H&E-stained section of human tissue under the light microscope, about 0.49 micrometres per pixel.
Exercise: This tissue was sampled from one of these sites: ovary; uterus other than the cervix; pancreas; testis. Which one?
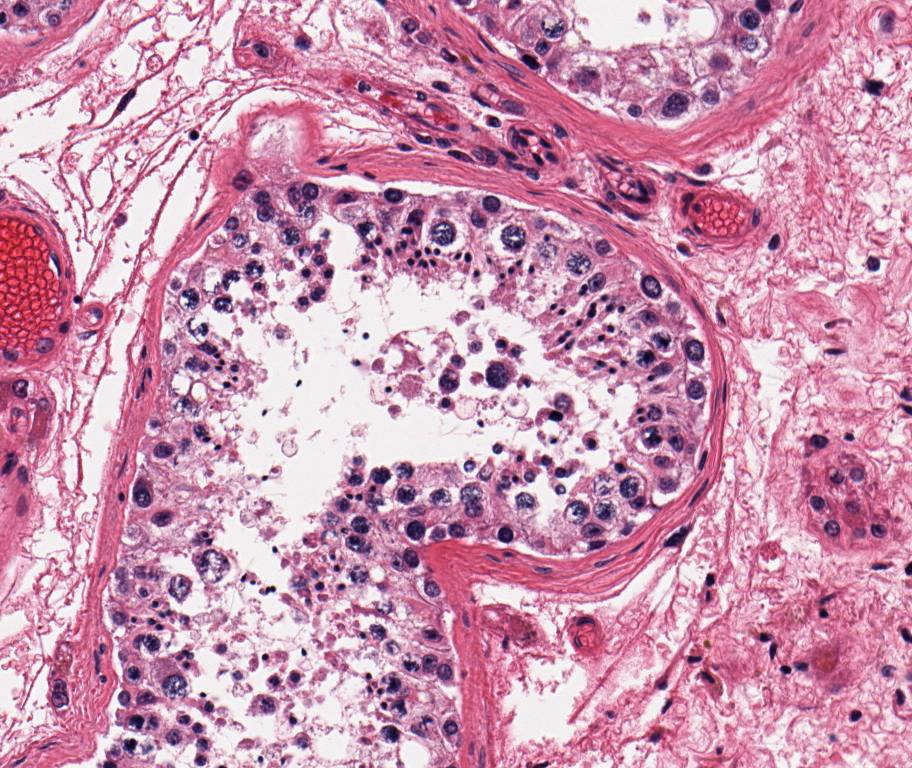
testis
